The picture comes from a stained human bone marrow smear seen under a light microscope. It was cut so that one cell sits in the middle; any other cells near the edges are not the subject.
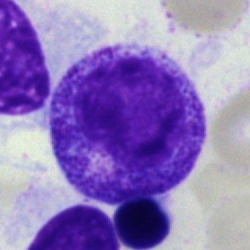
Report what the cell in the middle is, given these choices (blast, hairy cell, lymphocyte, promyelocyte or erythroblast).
promyelocyte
